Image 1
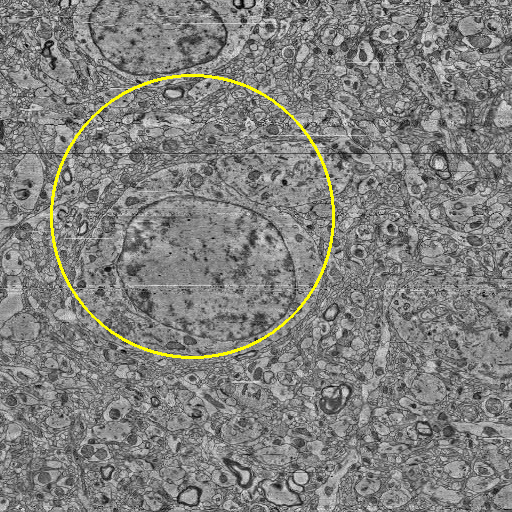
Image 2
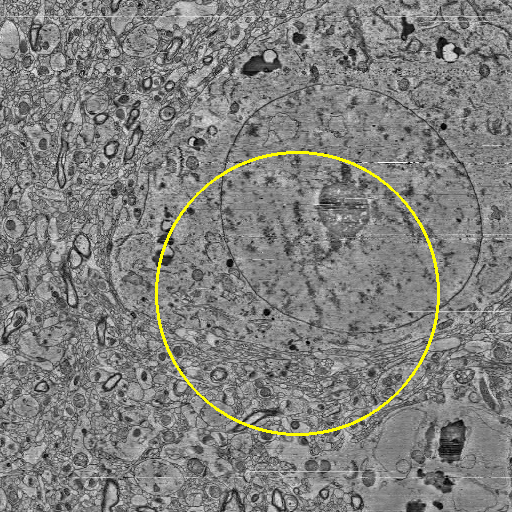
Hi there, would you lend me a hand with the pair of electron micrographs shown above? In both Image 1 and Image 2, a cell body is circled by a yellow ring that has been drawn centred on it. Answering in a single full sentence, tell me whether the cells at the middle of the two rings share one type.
Yes, the ringed cells in Image 1 and Image 2 share one type.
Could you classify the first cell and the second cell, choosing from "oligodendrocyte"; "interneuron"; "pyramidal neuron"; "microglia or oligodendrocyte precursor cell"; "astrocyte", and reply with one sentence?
Each of the two cells is a pyramidal neuron.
